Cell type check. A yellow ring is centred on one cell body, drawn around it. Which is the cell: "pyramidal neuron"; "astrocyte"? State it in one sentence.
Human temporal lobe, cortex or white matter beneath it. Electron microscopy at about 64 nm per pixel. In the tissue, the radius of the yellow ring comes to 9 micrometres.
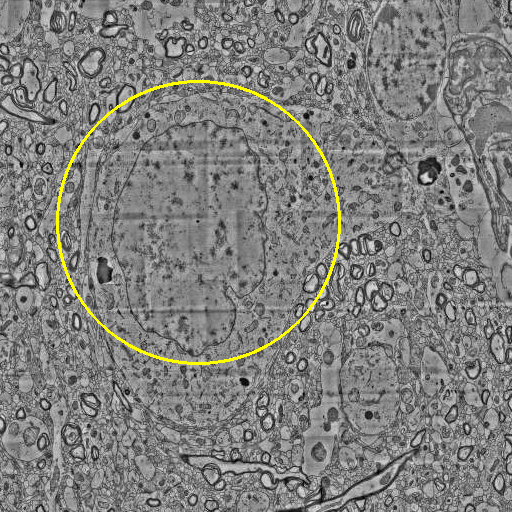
The cell body at the ring's centre belongs to a pyramidal neuron.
